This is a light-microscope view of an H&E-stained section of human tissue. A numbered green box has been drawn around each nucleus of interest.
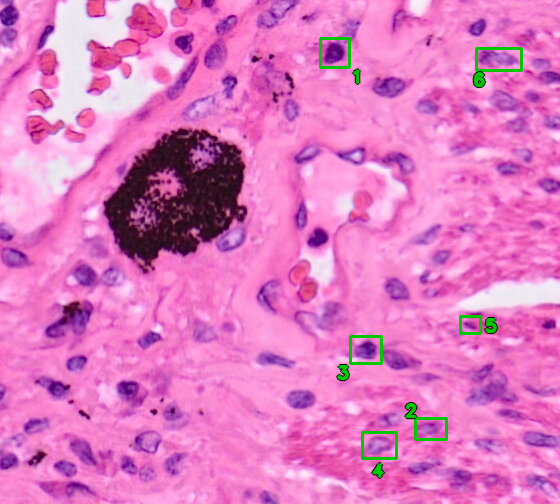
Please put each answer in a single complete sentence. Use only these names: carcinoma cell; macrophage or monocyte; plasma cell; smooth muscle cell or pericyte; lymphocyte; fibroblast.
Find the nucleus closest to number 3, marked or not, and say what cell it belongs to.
Number 3 lies closest to the nucleus of a plasma cell.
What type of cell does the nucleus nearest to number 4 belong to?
Number 4 lies closest to the nucleus of a smooth muscle cell or pericyte.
